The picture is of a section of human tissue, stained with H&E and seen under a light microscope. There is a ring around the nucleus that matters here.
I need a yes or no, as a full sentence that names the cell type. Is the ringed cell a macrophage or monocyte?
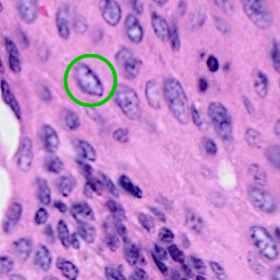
No, the ringed cell is a squamous carcinoma cell rather than a macrophage or monocyte.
